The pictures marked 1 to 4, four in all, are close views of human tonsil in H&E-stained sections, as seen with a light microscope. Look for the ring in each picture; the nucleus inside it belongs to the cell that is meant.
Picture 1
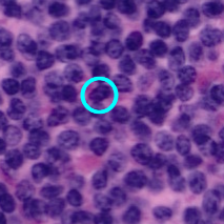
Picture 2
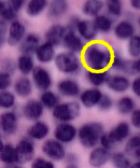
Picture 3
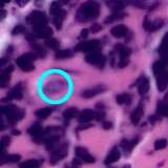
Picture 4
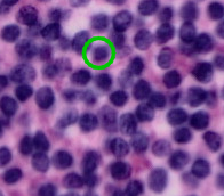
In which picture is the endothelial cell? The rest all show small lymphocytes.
3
